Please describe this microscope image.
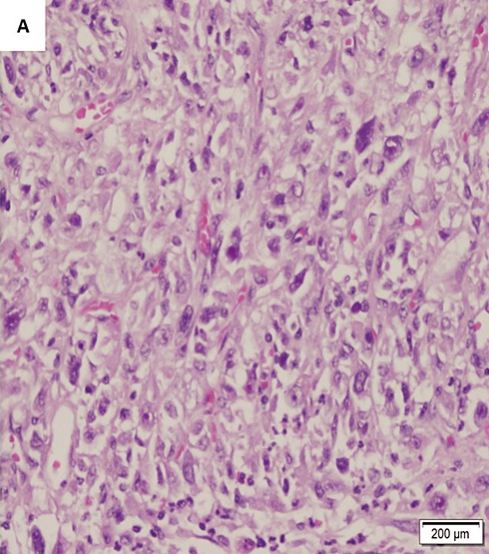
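A diffuse sheet of tumor cells with non-cohesive growth occupies the field. The cells lie loosely apart, separated by pale, clear spaces, with pale pink to clear cytoplasm. Nuclei are irregular, vary in size and shape, and several are large and darkly stained. Small vessels with red blood cells are scattered among the tumor cells. No glands, nests or organised normal tissue are seen.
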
